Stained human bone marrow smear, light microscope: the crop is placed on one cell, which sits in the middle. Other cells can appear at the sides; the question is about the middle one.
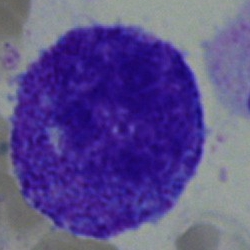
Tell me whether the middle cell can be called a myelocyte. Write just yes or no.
no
